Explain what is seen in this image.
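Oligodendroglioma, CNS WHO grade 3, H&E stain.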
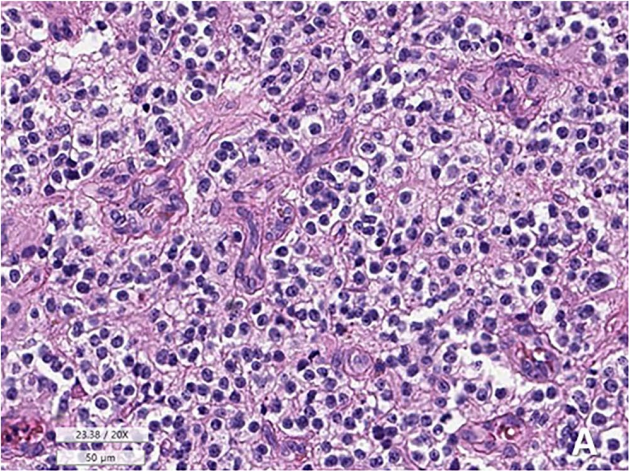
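This is a densely cellular glial tumor made of monotonous round cells with uniform round nuclei, many of them sitting in a clear halo of pale cytoplasm that gives a fried-egg look. Running through the sheets of cells are thickened, crowded vessels whose pink walls are lined by several layers of plump nuclei, a picture of microvascular proliferation.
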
